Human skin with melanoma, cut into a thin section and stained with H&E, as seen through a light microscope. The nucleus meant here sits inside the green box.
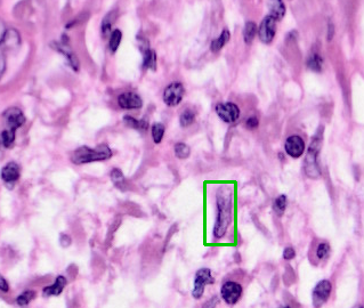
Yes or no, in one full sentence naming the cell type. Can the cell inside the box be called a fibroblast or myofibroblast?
Yes, the statement that the cell inside the box is a fibroblast or myofibroblast is correct.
